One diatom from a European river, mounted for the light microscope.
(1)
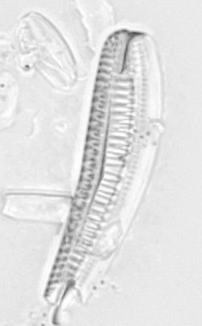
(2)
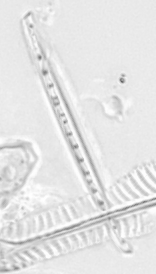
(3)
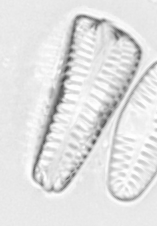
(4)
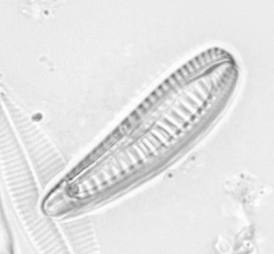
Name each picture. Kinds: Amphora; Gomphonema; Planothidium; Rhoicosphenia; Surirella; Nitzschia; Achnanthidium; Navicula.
1: Rhoicosphenia
2: Nitzschia
3: Gomphonema
4: Rhoicosphenia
